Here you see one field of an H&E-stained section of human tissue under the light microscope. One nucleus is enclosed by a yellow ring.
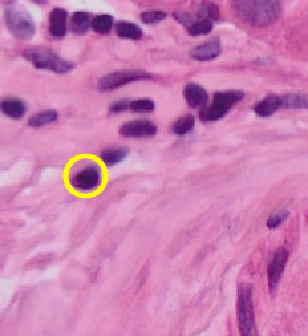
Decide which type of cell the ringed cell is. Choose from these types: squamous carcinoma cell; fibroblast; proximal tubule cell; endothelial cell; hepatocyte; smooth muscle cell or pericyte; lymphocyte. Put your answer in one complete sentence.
The cell meant here is a lymphocyte.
